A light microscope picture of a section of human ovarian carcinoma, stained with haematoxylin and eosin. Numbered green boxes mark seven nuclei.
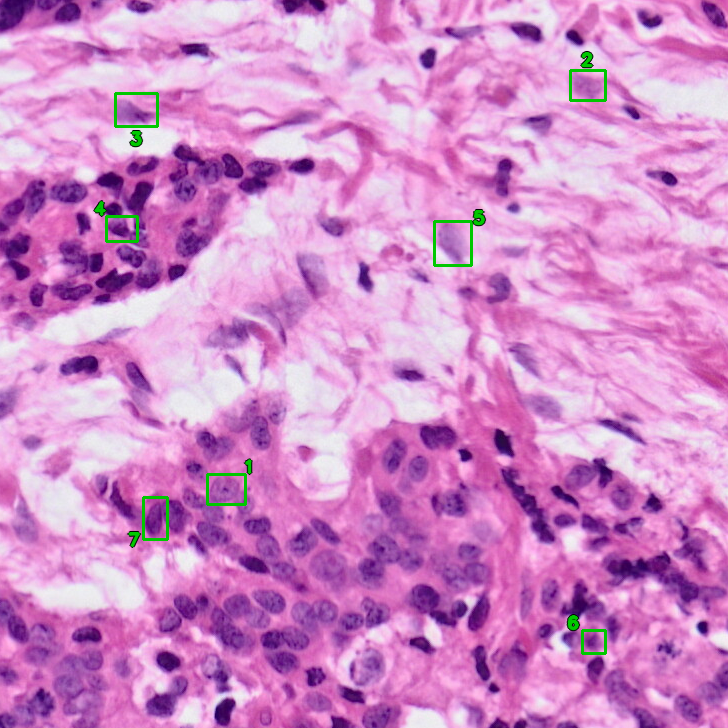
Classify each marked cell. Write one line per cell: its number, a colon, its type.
1: carcinoma cell
2: fibroblast
3: fibroblast
4: carcinoma cell
5: fibroblast
6: macrophage or monocyte
7: carcinoma cell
